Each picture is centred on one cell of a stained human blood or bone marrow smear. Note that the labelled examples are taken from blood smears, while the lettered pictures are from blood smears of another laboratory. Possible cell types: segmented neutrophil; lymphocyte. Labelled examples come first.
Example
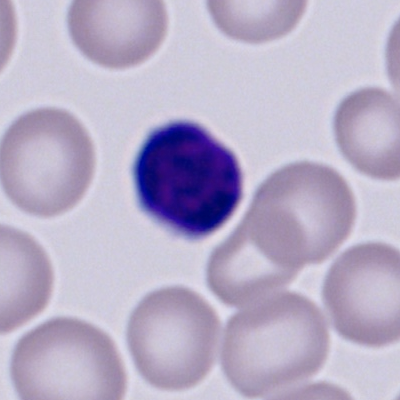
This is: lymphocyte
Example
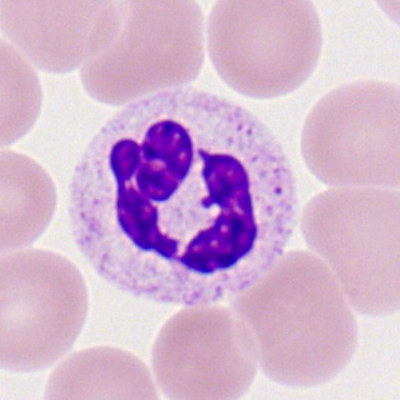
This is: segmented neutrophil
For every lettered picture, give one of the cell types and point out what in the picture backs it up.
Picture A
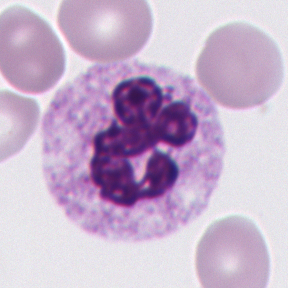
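segmented neutrophil. Evidence: The cytoplasm is abundant and pale pinkish-lilac.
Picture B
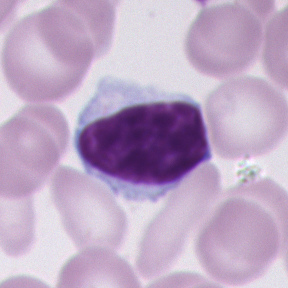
lymphocyte. Evidence: The cytoplasm is scant and lies mainly as caps above and below the nucleus.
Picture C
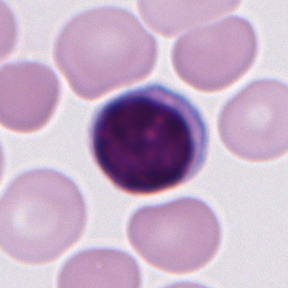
lymphocyte. Evidence: The cytoplasm forms only a thin rim around the nucleus.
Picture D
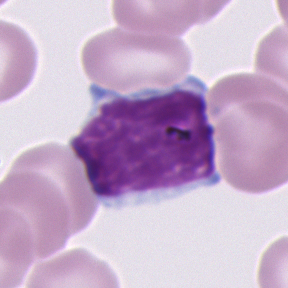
lymphocyte. Evidence: The cytoplasm forms only a thin rim around the nucleus.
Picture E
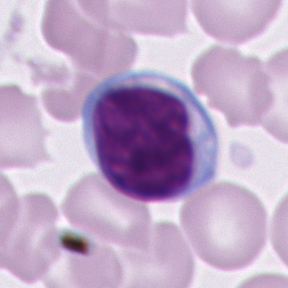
lymphocyte. Evidence: The cytoplasm forms a narrow pale blue rim that is widest on the right side.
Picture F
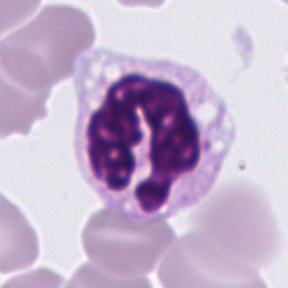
segmented neutrophil. Evidence: The nucleus is a single curved horseshoe-shaped mass whose open side faces downward.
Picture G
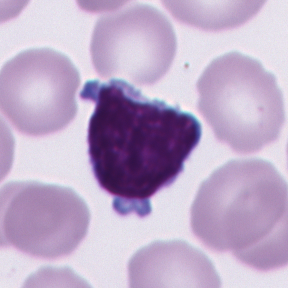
lymphocyte. Evidence: The cytoplasm is a scant pale blue rim, seen mainly along the upper edge.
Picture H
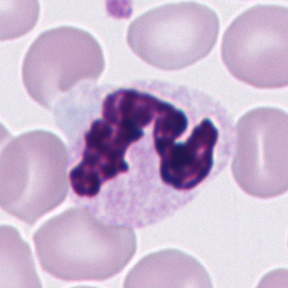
segmented neutrophil. Evidence: The cytoplasm is abundant and forms a wide area around the nucleus, widest below it.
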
